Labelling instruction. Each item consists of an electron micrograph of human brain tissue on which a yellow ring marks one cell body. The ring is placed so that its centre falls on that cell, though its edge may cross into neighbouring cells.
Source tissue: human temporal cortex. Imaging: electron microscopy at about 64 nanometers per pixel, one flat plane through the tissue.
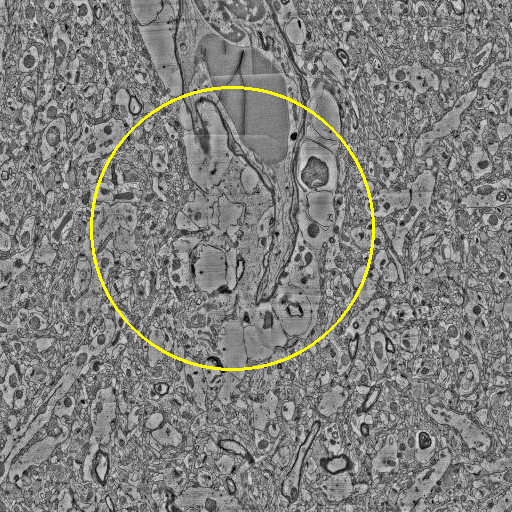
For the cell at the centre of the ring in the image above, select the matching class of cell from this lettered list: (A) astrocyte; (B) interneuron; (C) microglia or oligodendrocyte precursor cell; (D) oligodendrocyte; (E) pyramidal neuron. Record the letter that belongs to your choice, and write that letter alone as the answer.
C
